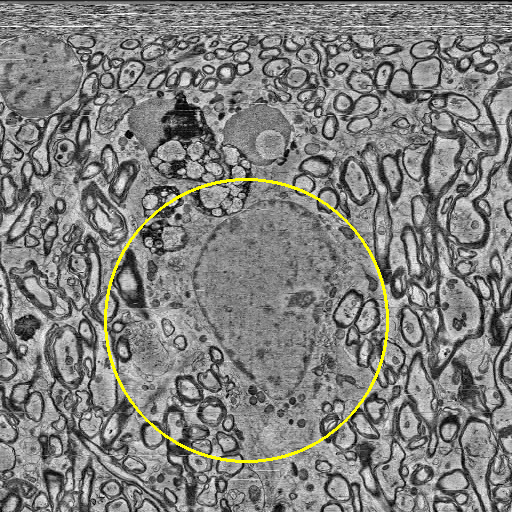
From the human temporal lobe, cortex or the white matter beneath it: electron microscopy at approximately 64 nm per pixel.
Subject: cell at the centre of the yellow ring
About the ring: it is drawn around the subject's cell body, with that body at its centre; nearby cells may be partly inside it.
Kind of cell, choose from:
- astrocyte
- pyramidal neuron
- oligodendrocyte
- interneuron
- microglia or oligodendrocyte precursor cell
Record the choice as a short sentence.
The subject cell is an astrocyte.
